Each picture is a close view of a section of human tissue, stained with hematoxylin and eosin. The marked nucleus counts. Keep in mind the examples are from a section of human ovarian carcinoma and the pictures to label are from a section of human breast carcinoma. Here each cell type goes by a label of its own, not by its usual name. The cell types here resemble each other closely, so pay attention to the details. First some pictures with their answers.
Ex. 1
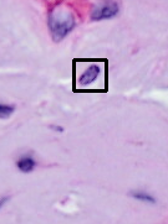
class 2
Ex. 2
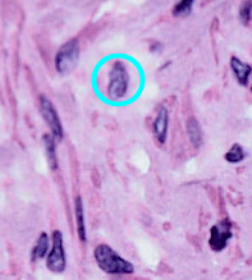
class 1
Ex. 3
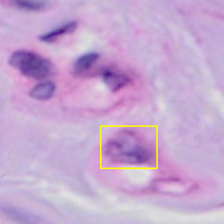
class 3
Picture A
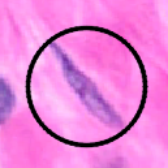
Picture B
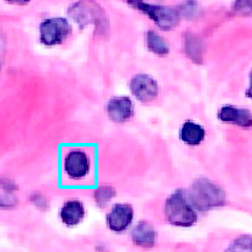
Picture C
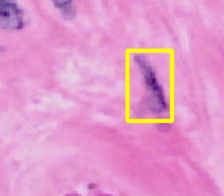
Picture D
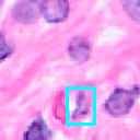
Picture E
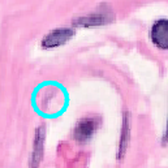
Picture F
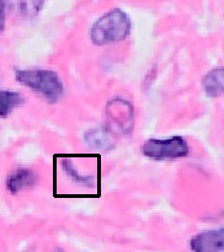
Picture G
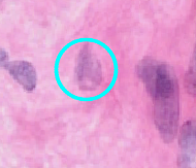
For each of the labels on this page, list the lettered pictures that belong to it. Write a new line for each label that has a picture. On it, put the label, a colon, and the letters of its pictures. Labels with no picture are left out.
class 2: B
class 1: A, C, F, G
class 3: D, E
